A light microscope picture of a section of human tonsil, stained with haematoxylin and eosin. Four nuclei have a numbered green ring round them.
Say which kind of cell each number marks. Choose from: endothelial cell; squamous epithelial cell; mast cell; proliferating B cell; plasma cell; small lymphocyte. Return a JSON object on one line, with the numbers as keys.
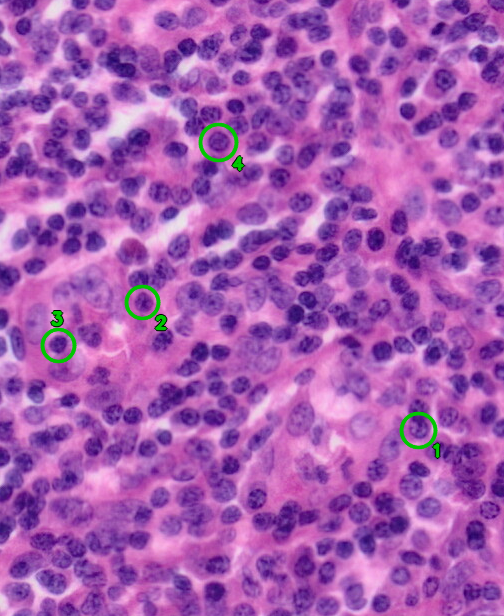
{"1": "plasma cell", "2": "endothelial cell", "3": "endothelial cell", "4": "plasma cell"}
